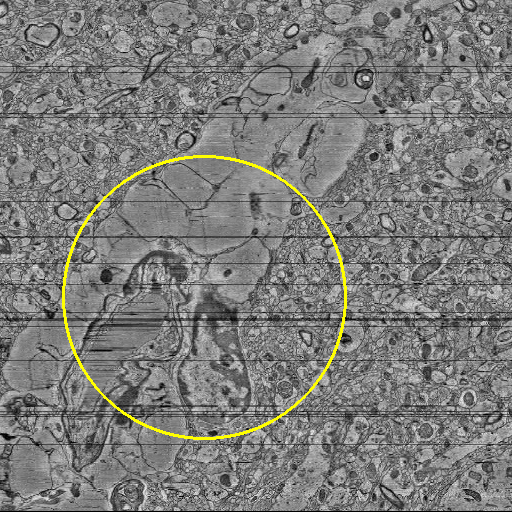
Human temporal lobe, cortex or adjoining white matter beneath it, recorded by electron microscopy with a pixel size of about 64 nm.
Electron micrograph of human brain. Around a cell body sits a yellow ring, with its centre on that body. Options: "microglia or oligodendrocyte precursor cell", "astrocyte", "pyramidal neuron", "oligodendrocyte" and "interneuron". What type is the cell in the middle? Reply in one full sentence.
The cell sitting at the centre of the yellow ring is a microglial cell or oligodendrocyte precursor cell.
